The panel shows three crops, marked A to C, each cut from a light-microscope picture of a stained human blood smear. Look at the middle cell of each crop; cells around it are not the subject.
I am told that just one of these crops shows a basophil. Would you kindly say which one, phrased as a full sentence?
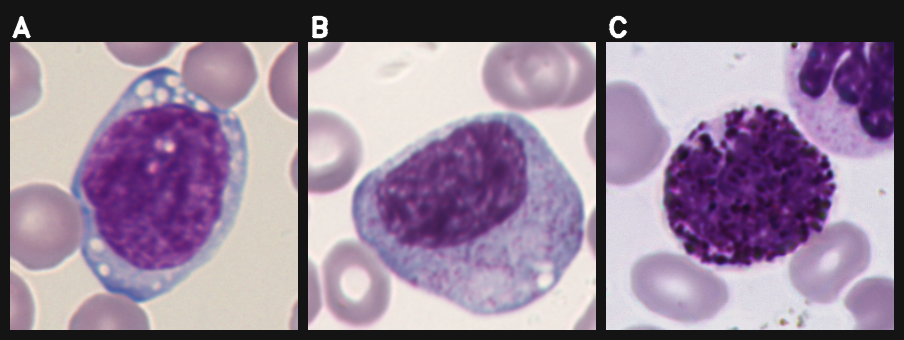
Crop C is the crop featuring a basophil at its center.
